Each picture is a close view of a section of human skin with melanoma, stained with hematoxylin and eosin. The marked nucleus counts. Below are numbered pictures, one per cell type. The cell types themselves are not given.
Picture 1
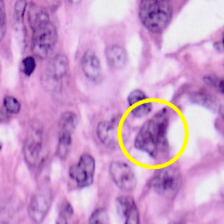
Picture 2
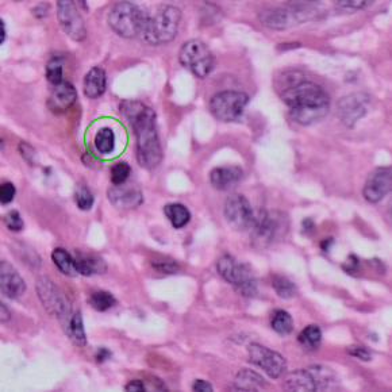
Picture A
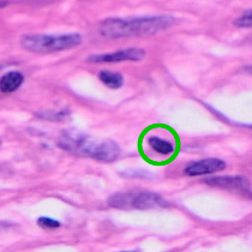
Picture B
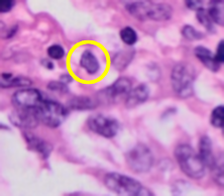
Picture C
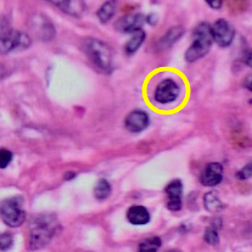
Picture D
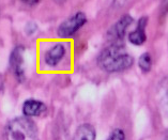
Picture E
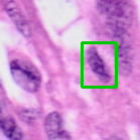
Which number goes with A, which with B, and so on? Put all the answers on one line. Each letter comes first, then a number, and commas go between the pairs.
A 2, B 2, C 2, D 2, E 1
